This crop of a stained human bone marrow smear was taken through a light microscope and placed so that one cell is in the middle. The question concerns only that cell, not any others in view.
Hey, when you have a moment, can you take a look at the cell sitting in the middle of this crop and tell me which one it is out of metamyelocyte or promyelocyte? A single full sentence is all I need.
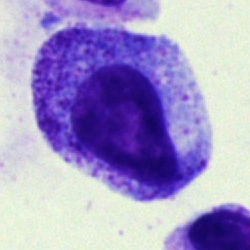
Classification of the middle cell gives a promyelocyte.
